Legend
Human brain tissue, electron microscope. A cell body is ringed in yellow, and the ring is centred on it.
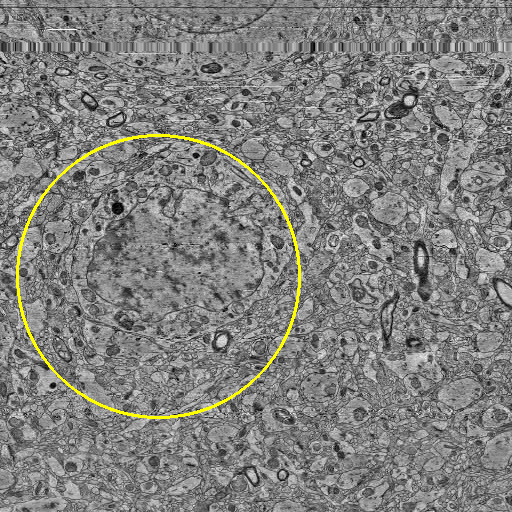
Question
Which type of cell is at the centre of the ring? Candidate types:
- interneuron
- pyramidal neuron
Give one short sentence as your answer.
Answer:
The yellow ring is centred here on an interneuron.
